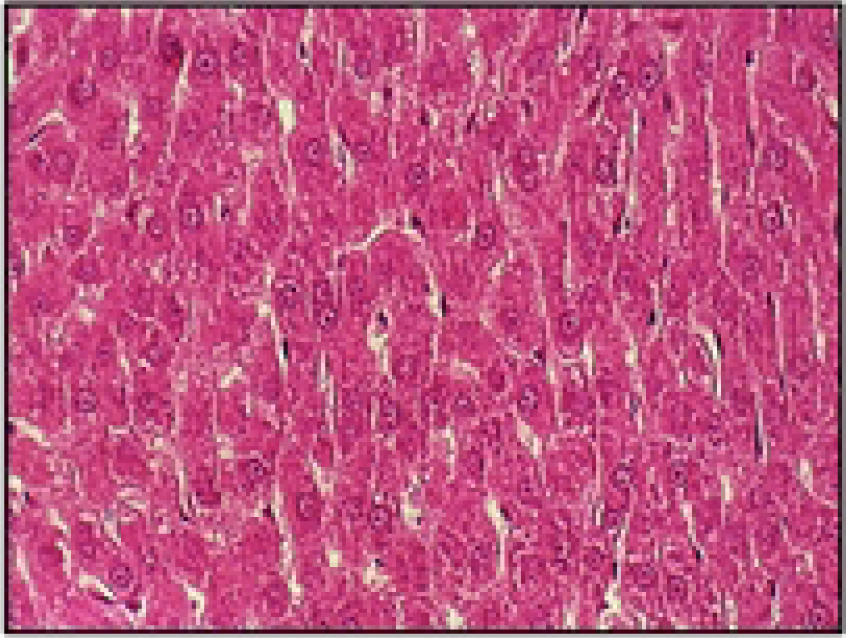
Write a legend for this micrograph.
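Liver tissue in which polygonal hepatocytes with pink cytoplasm and round, centrally placed nuclei are arranged in cords. Narrow pale sinusoidal spaces run between the cords in a largely parallel pattern. The cytoplasm appears evenly stained, without clear vacuoles.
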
